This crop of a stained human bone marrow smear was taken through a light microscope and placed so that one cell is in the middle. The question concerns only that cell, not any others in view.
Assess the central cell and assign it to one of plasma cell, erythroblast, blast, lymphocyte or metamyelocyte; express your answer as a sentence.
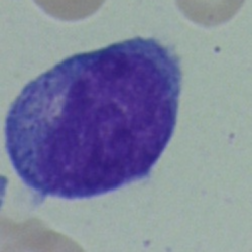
Classification of the middle cell gives a blast.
